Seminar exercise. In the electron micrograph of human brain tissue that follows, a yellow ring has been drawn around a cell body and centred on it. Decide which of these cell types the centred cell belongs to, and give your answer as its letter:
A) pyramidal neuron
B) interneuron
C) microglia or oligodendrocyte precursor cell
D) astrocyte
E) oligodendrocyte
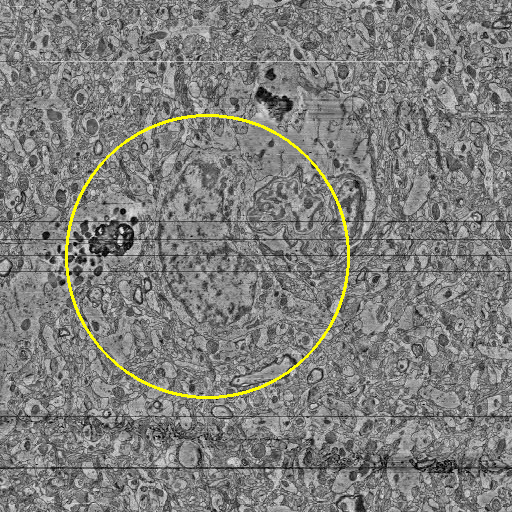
B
